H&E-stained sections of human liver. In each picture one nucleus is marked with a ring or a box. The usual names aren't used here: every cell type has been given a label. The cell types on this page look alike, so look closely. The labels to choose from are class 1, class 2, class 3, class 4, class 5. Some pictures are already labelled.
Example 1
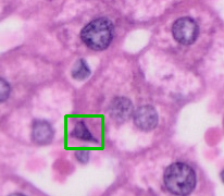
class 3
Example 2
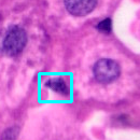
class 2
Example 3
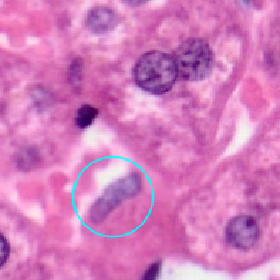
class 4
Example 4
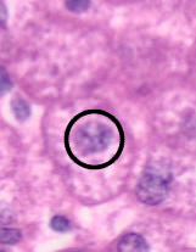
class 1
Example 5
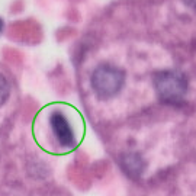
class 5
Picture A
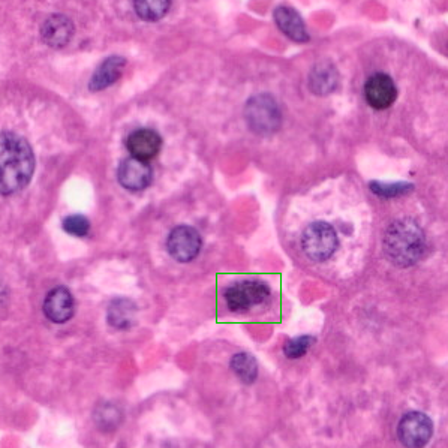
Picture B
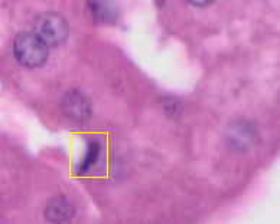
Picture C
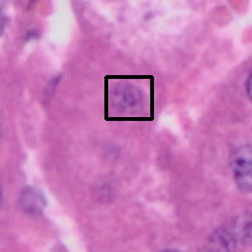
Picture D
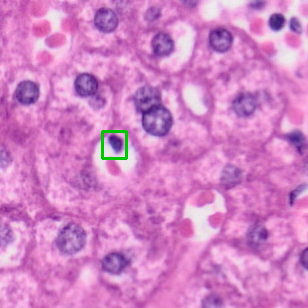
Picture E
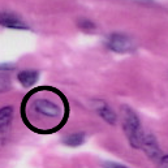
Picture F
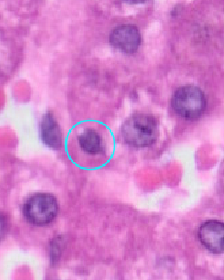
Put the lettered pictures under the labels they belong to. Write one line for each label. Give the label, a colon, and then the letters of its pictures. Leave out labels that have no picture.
class 1: C
class 3: B, E, F
class 4: A
class 5: D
